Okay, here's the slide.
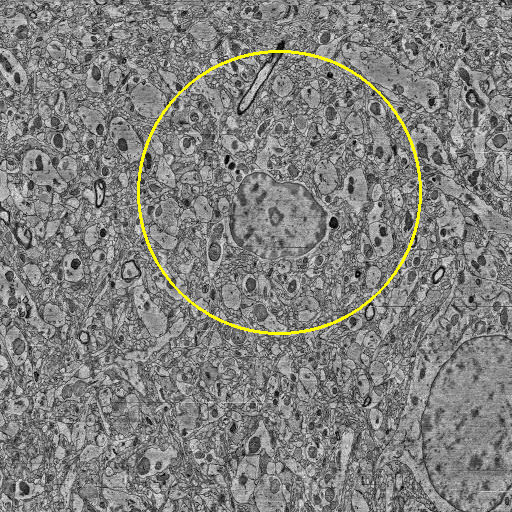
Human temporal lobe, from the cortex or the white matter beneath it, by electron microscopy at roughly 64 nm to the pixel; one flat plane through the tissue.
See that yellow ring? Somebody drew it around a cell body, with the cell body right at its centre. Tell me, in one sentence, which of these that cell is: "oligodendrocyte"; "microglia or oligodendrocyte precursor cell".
The cell in the middle of the ring is a microglial cell or oligodendrocyte precursor cell.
